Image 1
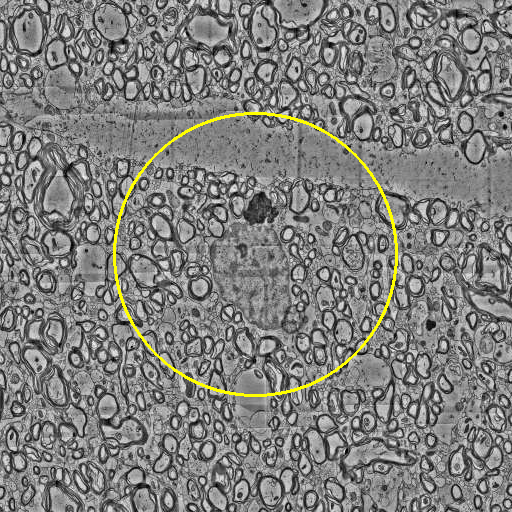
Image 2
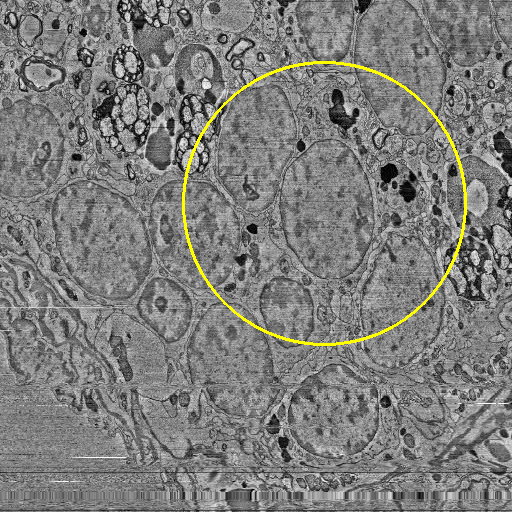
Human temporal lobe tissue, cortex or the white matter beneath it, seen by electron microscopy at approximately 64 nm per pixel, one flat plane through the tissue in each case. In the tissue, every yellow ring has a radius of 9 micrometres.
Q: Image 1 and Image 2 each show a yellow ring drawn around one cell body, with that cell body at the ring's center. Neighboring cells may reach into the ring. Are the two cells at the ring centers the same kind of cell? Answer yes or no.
yes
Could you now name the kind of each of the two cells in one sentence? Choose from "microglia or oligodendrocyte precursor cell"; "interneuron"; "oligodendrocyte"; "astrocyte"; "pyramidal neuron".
Both rings mark an oligodendrocyte, one in each picture.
